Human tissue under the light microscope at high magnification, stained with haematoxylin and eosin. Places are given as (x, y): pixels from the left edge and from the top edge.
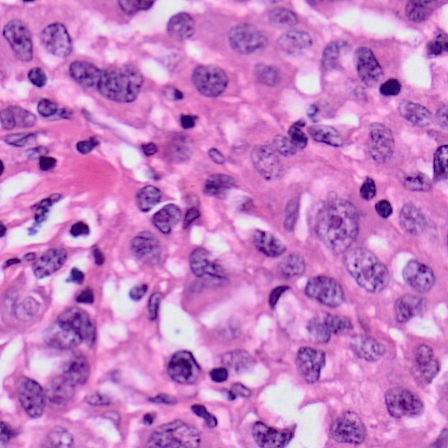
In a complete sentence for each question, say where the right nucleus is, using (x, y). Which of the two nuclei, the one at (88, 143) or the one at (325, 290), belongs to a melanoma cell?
The nucleus at (325, 290) is identified as belonging to a melanoma cell.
